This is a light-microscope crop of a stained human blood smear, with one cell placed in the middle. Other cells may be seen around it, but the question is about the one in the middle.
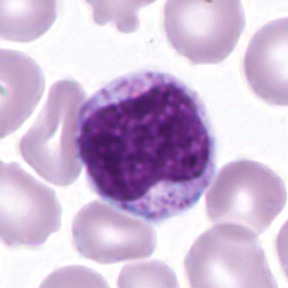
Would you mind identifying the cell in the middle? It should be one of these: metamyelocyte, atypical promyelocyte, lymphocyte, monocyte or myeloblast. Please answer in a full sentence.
The crop's centre is taken up by a metamyelocyte.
